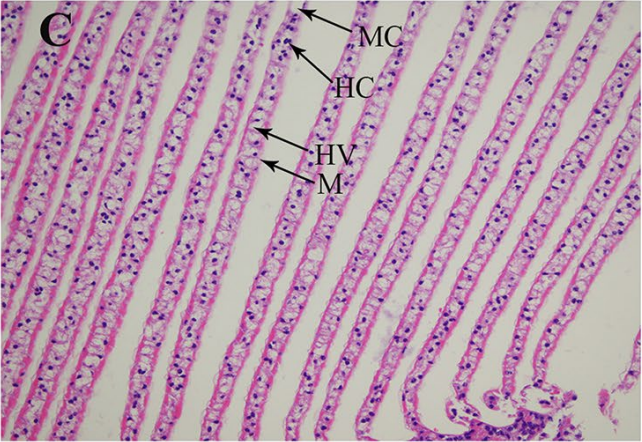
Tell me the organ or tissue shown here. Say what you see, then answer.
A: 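Gills. Many thin, parallel, plate-like lamellae run side by side, separated by clear spaces. The inside of each lamella is pale and loose.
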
